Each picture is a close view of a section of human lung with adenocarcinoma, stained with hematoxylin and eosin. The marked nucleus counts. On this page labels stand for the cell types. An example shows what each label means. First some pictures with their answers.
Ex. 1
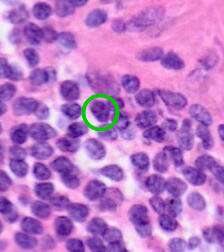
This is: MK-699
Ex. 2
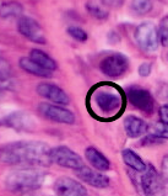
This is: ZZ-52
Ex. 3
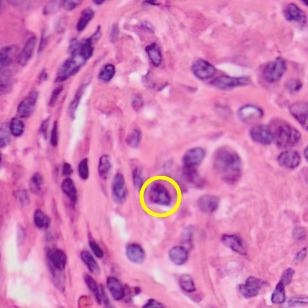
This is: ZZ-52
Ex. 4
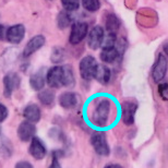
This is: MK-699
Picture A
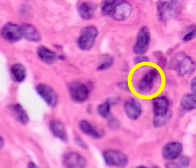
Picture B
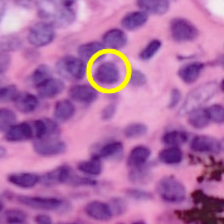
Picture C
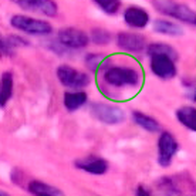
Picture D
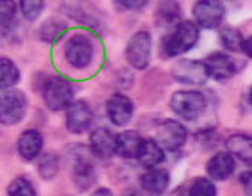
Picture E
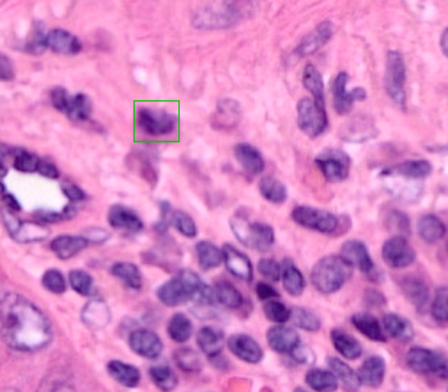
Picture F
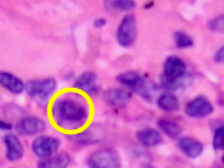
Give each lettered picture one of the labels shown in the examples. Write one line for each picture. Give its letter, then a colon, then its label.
A: ZZ-52
B: MK-699
C: ZZ-52
D: MK-699
E: ZZ-52
F: ZZ-52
